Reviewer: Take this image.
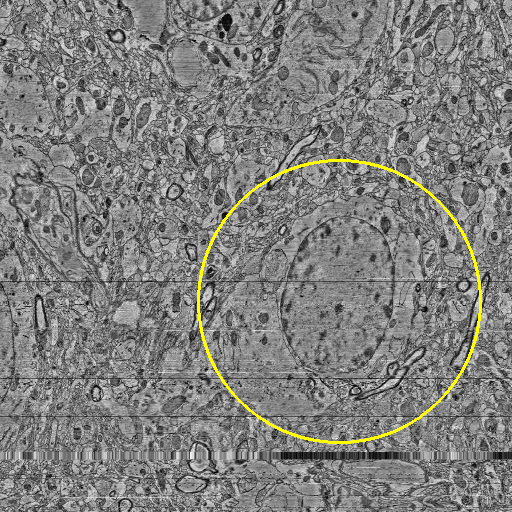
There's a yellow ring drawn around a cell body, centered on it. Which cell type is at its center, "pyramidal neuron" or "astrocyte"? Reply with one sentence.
At the center of the yellow ring is an astrocyte.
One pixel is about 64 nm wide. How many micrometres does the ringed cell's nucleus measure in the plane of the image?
The nucleus works out at approximately 11 by 7 micrometres in this plane.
